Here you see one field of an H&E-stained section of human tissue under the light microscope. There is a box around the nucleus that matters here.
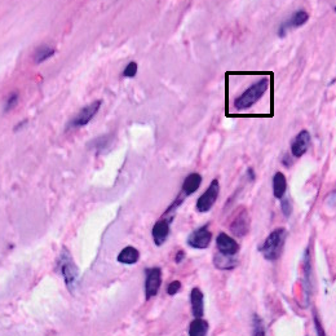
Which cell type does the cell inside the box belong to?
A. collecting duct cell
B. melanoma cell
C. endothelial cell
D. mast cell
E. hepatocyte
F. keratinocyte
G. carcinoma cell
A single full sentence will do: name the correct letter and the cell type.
The item is answered by option D: the cell inside the box is a mast cell.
